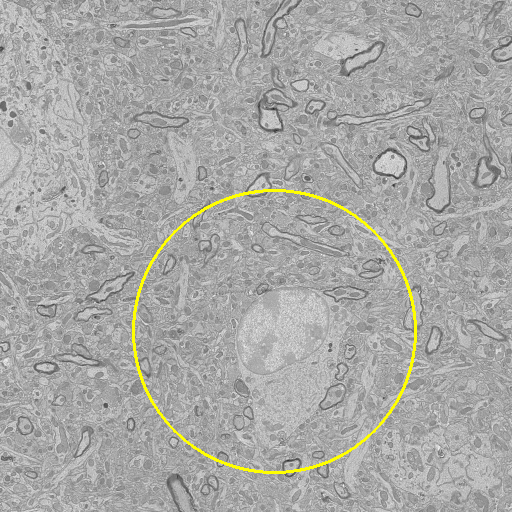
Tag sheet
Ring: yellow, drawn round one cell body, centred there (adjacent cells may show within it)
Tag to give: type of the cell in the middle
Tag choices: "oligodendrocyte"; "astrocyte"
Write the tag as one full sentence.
I tag the cell centred in the yellow ring as an oligodendrocyte in this picture.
